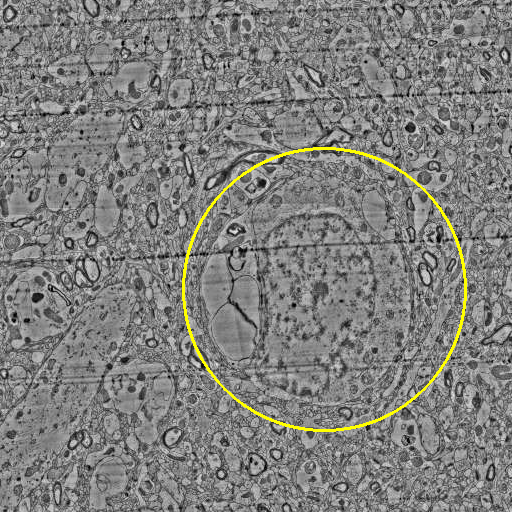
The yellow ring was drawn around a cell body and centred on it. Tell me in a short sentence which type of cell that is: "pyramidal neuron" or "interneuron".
The cell at the ring's centre is an interneuron.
